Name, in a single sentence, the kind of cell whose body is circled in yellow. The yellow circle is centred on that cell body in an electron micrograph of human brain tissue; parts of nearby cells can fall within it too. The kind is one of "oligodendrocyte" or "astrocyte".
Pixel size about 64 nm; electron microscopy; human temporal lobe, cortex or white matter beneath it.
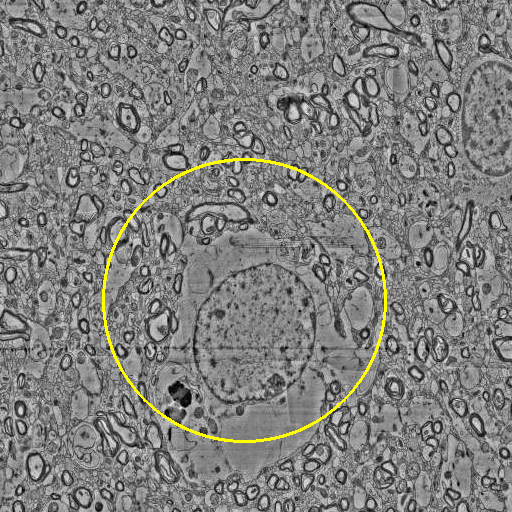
The circled cell body belongs to an astrocyte.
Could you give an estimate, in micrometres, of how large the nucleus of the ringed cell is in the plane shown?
The ringed cell's nucleus is about 9 micrometres long and 8 micrometres wide in this plane.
